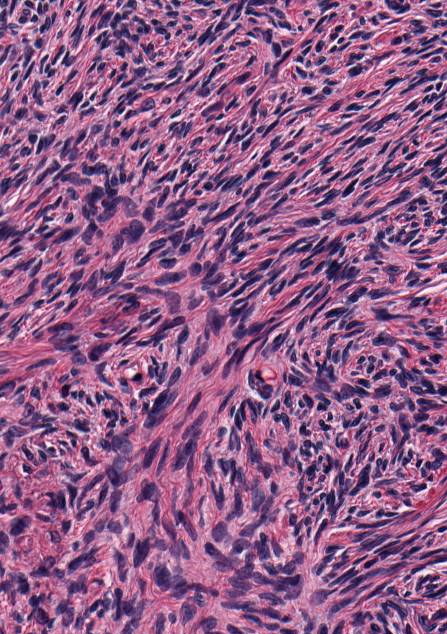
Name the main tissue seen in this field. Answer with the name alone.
ovarian cortex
